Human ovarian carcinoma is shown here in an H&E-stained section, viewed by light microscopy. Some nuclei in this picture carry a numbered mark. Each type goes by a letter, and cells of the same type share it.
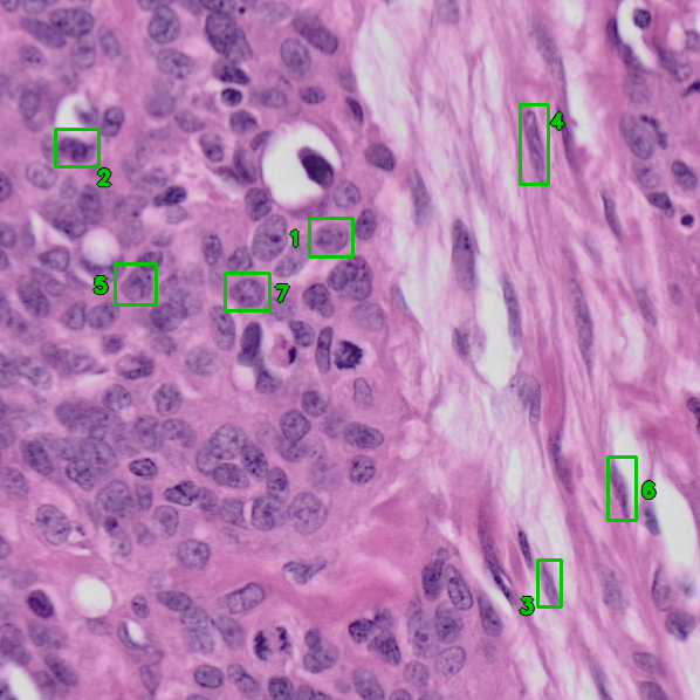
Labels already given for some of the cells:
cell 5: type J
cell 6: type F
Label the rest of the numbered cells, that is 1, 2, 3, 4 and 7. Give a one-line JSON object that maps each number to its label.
{"1": "type J", "2": "type J", "3": "type F", "4": "type F", "7": "type J"}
